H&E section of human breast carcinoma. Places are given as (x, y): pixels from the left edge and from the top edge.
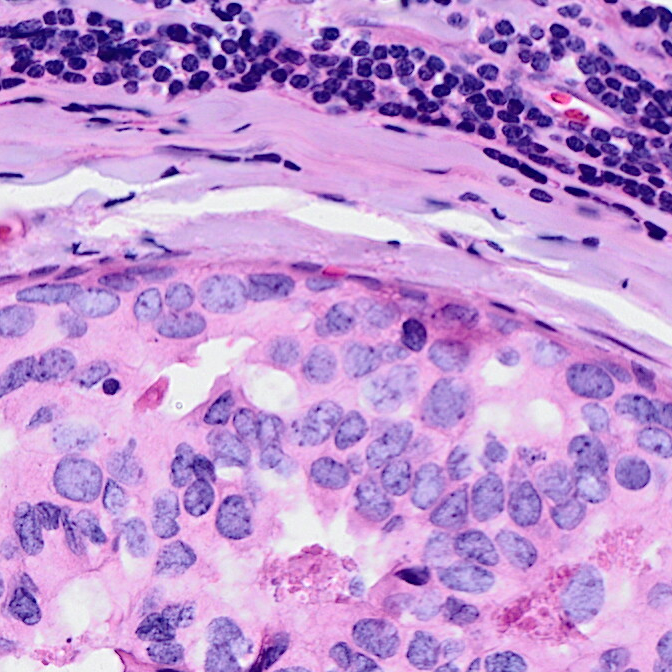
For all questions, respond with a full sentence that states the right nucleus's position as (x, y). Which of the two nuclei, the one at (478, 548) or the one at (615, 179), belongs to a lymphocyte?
It is at (615, 179) that the nucleus of a lymphocyte is found.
